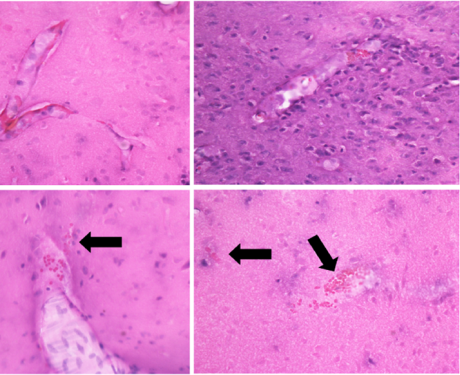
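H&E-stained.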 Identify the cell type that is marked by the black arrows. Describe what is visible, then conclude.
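Red blood cells. Small round eosin-red bodies without nuclei cluster where the arrows point. The red bodies lie in and beside a vessel lumen and spill into the surrounding pink parenchyma.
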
